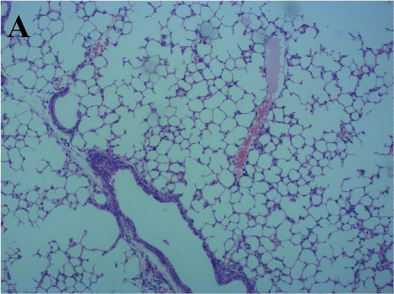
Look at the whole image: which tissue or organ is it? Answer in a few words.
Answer: lung tissue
